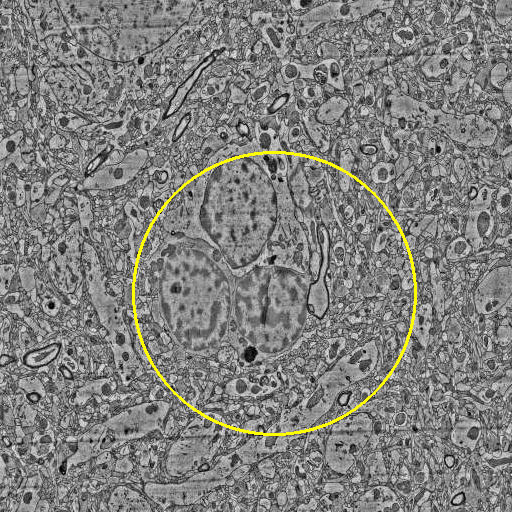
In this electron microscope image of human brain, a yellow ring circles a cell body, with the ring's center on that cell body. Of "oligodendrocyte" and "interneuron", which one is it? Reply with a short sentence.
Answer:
It is an oligodendrocyte at the center of the ring.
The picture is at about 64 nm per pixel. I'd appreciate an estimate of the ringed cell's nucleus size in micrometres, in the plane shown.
The nucleus of the ringed cell is approximately 5 micrometres across in this plane.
